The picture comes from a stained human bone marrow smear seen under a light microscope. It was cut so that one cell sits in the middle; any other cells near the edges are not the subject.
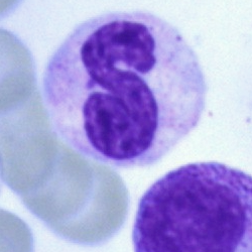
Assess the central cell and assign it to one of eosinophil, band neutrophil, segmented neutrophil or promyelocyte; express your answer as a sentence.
To answer, the cell in the center of the crop is a segmented neutrophil.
